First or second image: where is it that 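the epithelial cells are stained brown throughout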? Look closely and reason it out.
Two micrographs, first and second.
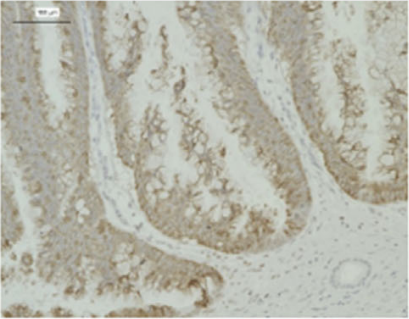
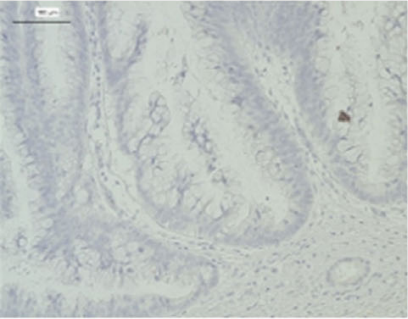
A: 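Second image: the papillary epithelium is pale blue with no brown stain. The answer: the first image.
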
